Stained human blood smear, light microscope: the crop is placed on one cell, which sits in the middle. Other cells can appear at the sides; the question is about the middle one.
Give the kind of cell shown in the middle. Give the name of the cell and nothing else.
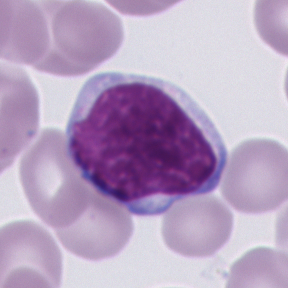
large granular lymphocyte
